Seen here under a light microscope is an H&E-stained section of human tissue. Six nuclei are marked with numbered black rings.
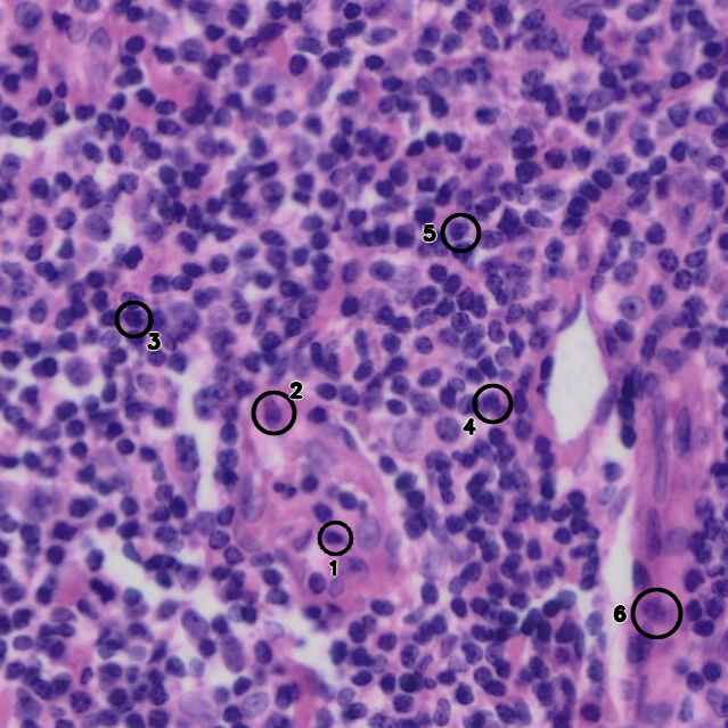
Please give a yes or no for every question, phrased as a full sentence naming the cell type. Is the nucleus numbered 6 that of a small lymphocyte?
No. Cell number 6 is an endothelial cell, not a small lymphocyte.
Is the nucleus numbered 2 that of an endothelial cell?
Yes, the cell whose number is 2 is an endothelial cell.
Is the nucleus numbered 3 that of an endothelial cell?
No, the cell bearing the number 3 is a small lymphocyte, not an endothelial cell.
